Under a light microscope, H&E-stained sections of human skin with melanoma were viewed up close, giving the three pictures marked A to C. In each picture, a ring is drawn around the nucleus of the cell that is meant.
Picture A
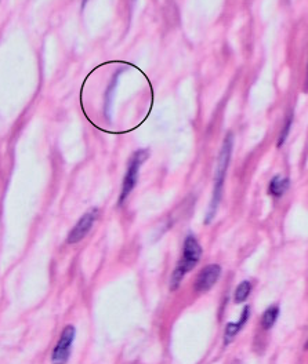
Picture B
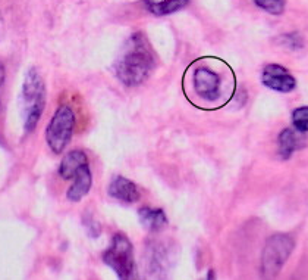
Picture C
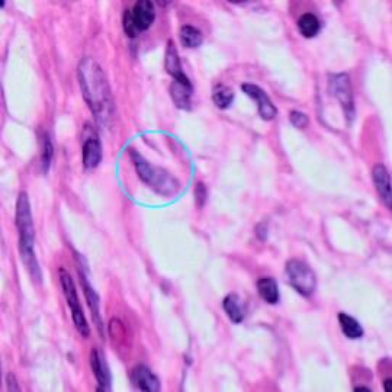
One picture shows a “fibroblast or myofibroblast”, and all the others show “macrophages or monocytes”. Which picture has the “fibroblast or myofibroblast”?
A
